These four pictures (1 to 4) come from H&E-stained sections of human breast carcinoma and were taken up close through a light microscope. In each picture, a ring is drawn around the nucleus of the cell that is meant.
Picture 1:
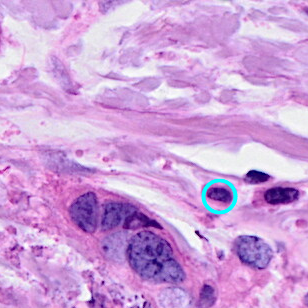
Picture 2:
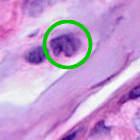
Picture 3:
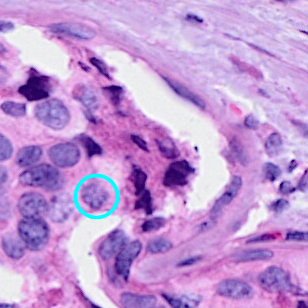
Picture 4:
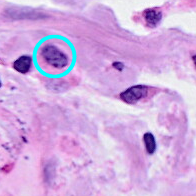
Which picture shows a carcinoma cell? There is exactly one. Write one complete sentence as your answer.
The cell in picture 3 is the carcinoma cell.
